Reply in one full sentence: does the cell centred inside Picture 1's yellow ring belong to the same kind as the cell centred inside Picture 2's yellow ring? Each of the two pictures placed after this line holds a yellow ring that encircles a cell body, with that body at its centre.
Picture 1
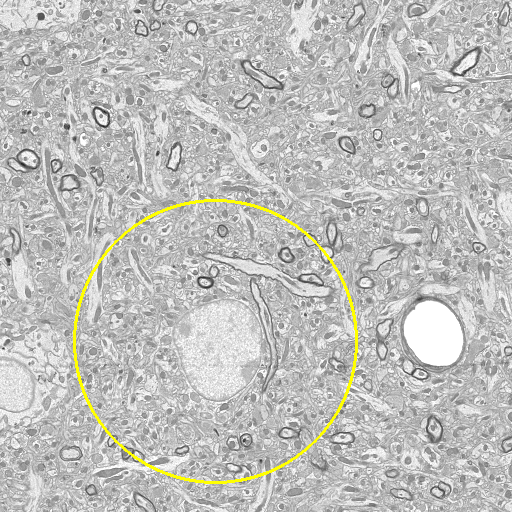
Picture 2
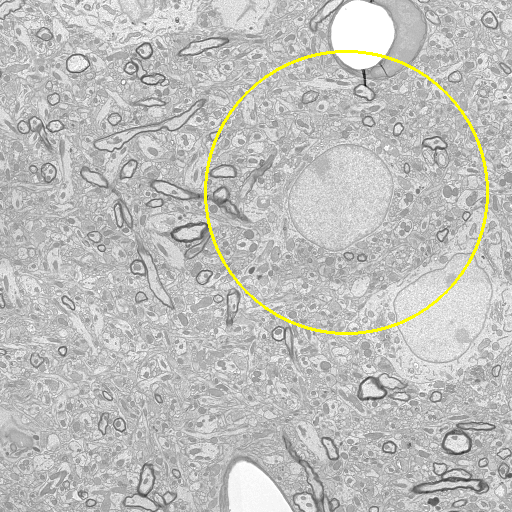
Yes, the ring-centred cells in Picture 1 and Picture 2 are of one and the same kind.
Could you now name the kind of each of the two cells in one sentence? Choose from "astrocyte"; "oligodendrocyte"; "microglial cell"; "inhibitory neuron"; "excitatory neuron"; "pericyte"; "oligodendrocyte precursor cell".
The cell in the first picture is an astrocyte, and so is the one in the second.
